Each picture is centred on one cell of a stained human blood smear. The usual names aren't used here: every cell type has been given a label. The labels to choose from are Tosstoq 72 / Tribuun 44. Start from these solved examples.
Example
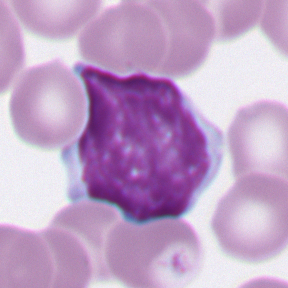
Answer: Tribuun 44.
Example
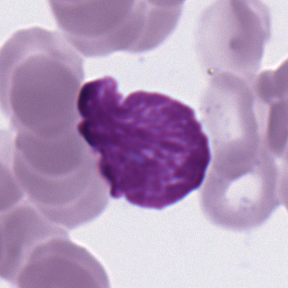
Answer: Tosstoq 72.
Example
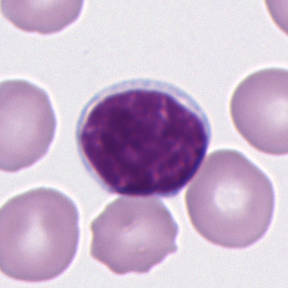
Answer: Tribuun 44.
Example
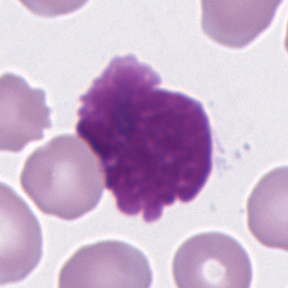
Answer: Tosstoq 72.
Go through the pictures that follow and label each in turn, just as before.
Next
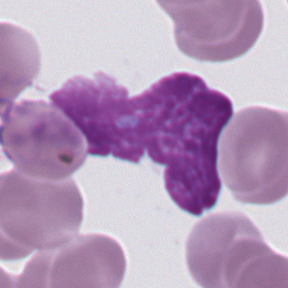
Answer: Tosstoq 72.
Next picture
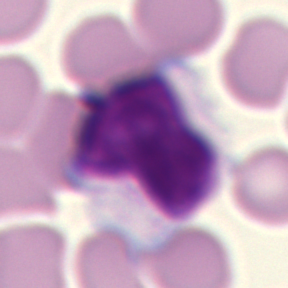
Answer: Tribuun 44.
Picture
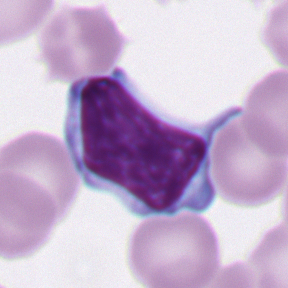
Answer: Tribuun 44.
